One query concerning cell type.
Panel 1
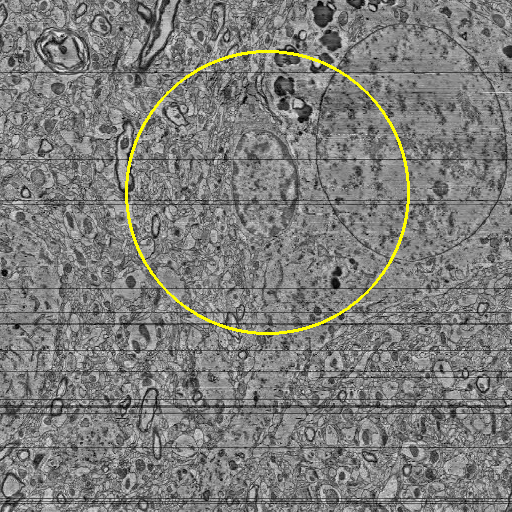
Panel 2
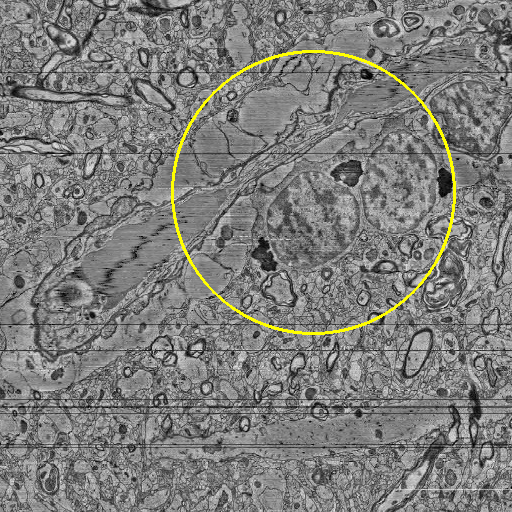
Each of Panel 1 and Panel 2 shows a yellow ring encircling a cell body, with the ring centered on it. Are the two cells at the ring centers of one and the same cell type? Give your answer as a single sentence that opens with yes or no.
Yes, the cell centered in Panel 1 and the one in Panel 2 share a type.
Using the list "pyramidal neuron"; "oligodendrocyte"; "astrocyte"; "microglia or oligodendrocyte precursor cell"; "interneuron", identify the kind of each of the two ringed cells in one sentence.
Each cell at the centre of a ring is an oligodendrocyte.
